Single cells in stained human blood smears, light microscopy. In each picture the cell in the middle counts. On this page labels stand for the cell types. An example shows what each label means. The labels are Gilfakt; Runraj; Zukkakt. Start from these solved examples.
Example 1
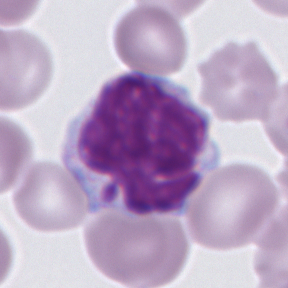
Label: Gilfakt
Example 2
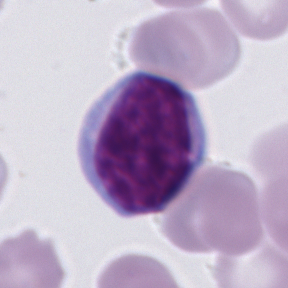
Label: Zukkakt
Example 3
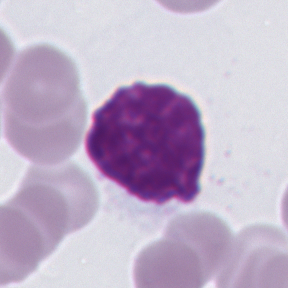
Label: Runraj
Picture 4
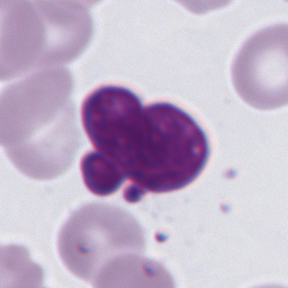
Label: Runraj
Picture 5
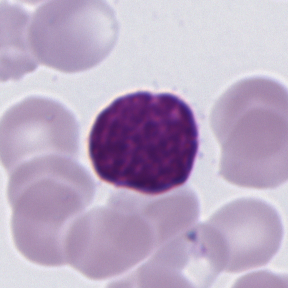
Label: Runraj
